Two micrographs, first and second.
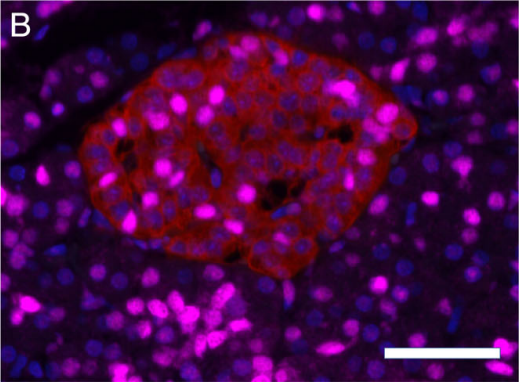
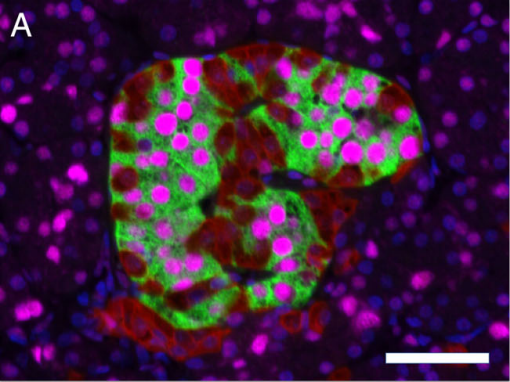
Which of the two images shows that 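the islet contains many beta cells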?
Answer: The second image.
